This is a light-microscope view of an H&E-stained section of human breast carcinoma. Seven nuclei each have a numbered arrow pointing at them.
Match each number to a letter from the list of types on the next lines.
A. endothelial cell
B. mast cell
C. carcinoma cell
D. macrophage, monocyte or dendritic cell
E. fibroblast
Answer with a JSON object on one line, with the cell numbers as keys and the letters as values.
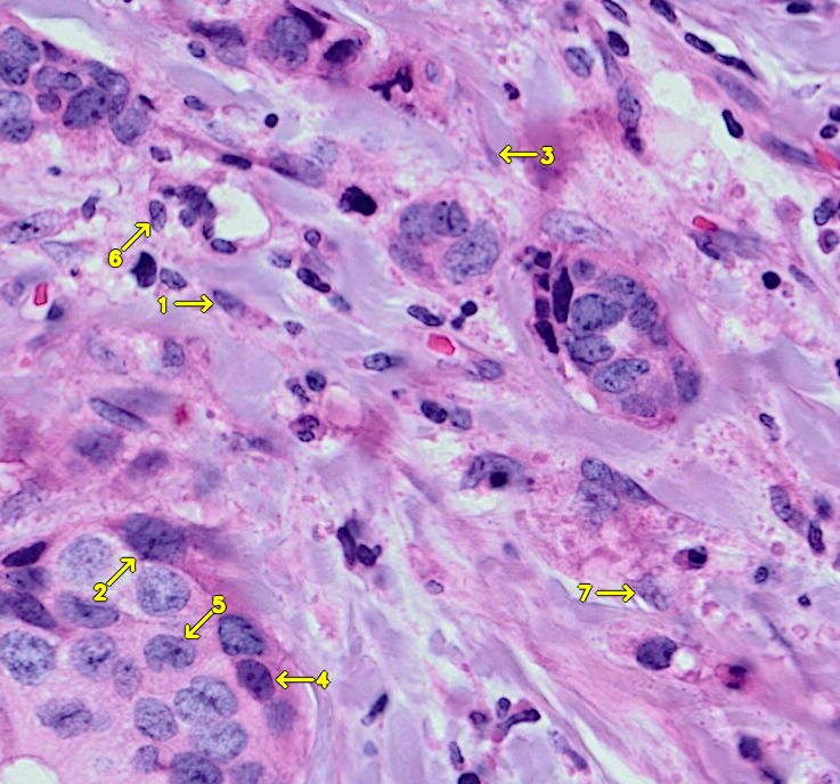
{"1": "E", "2": "C", "3": "E", "4": "C", "5": "C", "6": "B", "7": "E"}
